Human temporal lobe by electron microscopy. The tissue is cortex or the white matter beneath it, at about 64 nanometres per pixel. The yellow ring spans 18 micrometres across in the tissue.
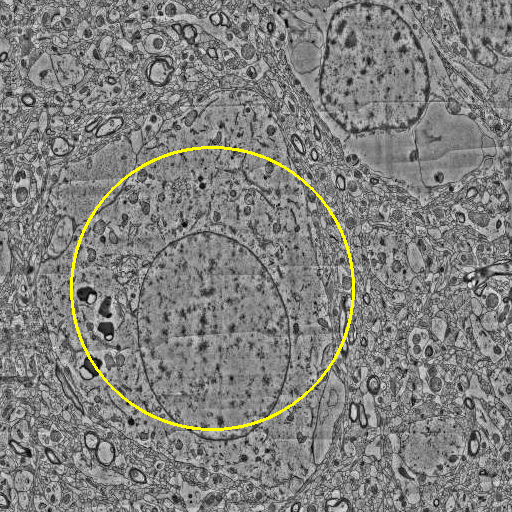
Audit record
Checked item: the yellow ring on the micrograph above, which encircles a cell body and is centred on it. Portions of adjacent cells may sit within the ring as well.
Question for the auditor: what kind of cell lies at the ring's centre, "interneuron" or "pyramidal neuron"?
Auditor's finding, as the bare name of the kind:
pyramidal neuron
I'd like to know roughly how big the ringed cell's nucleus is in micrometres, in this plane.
Approximately 13 by 10 micrometers in this plane.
